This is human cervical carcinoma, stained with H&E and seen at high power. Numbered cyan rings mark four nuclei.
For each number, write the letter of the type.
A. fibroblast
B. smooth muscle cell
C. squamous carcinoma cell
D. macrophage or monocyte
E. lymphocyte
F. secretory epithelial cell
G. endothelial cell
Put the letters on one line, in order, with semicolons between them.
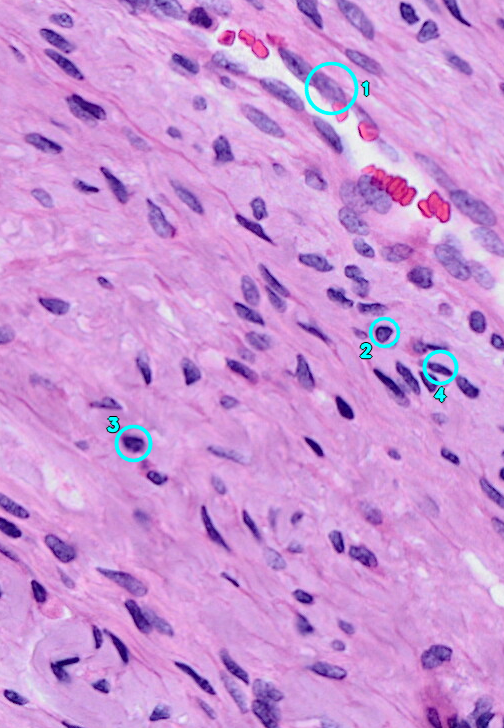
G; A; E; A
